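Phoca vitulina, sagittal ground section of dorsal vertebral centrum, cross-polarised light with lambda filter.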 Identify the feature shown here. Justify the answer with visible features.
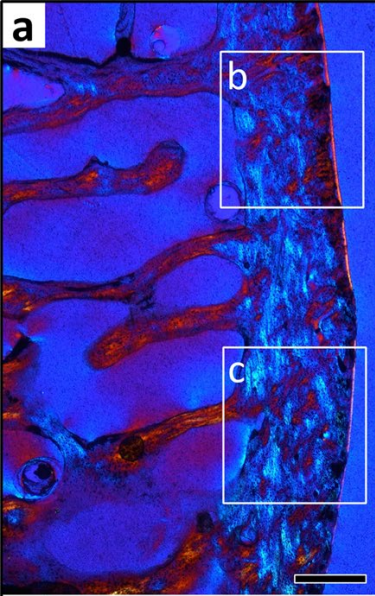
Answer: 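Trabecular bone strands on the left run into a denser band at the right edge. The dense band forms the outer boundary of the bone.
Bony endplate.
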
